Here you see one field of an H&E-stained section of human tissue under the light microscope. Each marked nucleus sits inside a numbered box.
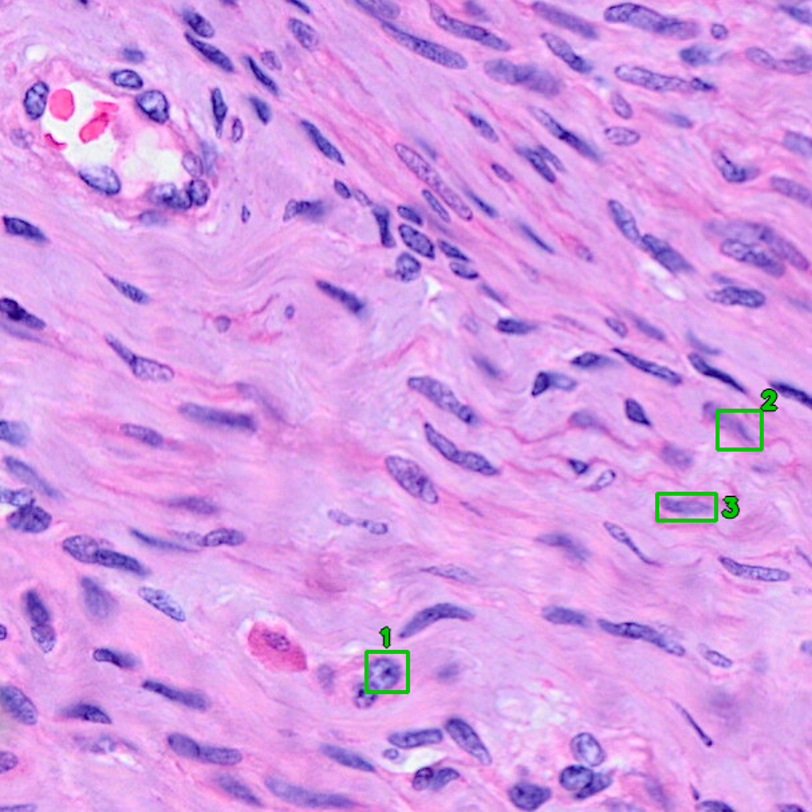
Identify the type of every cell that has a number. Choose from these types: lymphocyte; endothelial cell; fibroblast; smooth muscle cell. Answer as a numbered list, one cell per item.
1. endothelial cell
2. smooth muscle cell
3. smooth muscle cell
